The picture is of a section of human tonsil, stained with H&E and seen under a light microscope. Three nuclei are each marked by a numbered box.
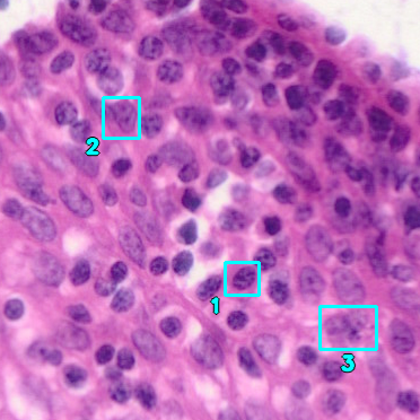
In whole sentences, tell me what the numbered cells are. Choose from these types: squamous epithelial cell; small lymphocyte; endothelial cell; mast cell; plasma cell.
Cell 1 is a plasma cell. Cells 2 and 3 are squamous epithelial cells.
